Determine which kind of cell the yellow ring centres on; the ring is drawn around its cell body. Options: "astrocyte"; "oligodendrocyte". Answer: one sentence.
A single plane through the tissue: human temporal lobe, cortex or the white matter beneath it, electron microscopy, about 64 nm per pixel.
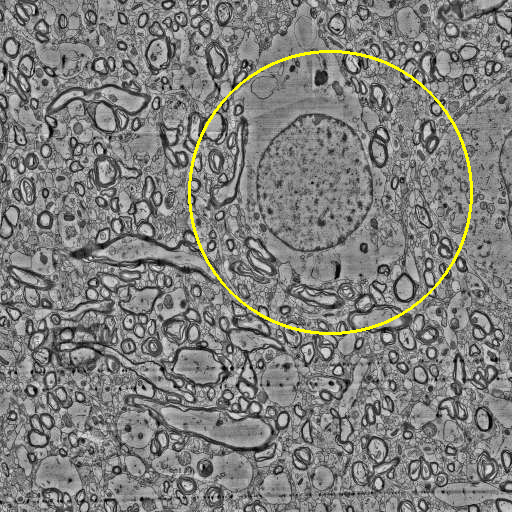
The ring centres on an astrocyte.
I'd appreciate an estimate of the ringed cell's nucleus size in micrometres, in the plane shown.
The nucleus appears roughly 9 by 8 micrometres in this plane.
